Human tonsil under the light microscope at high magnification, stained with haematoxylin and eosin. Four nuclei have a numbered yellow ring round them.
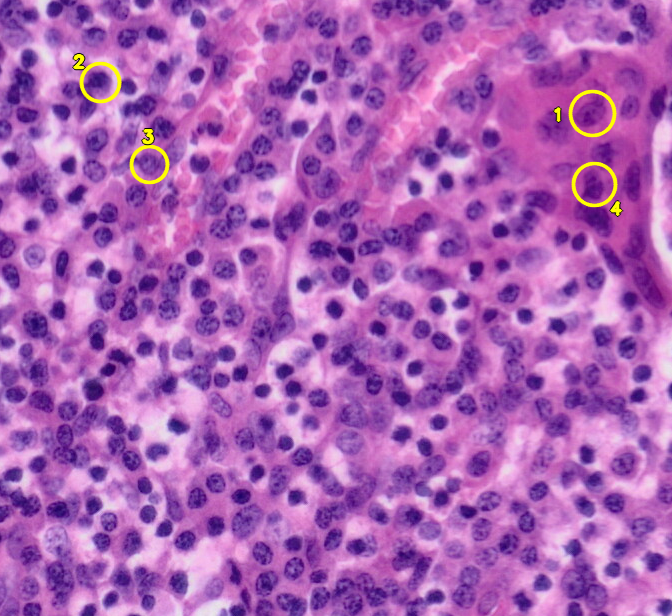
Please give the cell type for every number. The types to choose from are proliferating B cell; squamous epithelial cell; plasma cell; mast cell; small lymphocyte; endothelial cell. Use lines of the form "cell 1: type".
cell 1: squamous epithelial cell
cell 2: plasma cell
cell 3: plasma cell
cell 4: squamous epithelial cell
